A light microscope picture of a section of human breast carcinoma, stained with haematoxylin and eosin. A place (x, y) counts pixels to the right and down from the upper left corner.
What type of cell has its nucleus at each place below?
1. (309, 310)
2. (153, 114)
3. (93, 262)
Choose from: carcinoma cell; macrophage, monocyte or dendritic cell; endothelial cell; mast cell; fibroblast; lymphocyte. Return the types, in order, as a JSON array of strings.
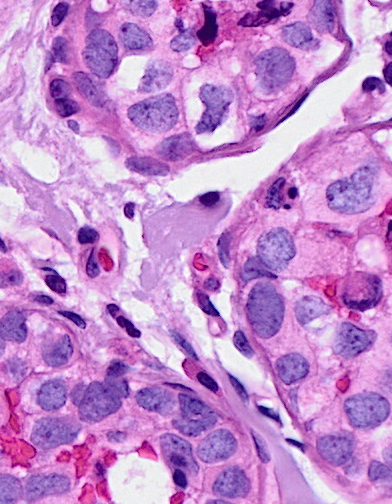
["carcinoma cell", "carcinoma cell", "endothelial cell"]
